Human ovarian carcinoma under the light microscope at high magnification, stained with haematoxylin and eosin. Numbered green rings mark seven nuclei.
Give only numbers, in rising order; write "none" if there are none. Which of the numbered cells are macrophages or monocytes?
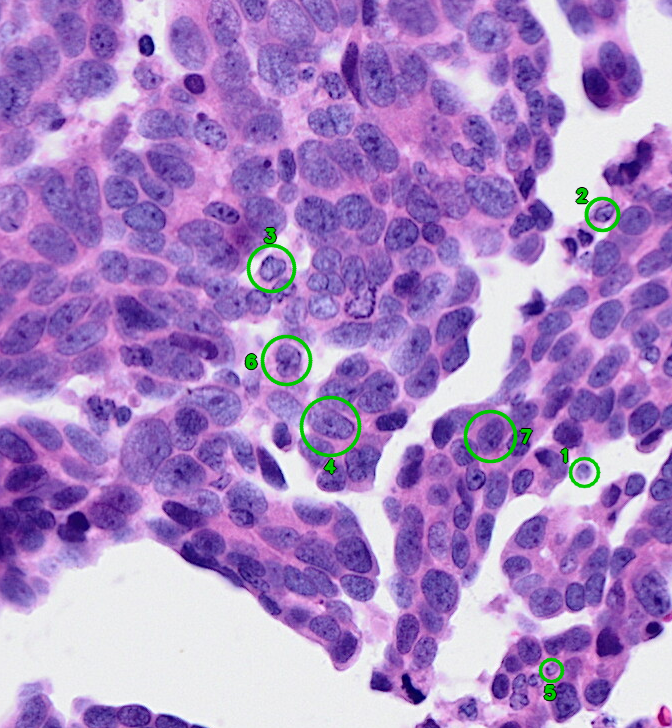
2, 3, 5, 6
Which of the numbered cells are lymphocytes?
1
